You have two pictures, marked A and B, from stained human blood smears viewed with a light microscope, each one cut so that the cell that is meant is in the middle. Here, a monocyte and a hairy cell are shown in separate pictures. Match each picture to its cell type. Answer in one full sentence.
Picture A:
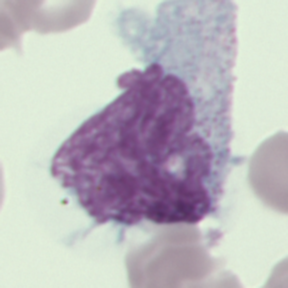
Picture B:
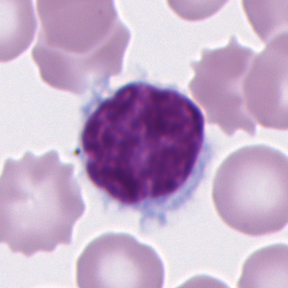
It is picture A that shows a monocyte, and picture B that shows a hairy cell.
